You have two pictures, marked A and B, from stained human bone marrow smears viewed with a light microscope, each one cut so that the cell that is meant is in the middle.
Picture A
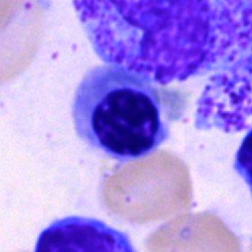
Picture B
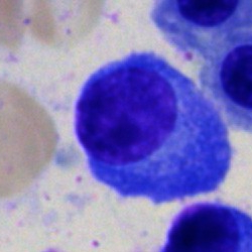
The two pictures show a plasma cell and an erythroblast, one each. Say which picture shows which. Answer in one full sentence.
Picture B shows a plasma cell, while picture A shows an erythroblast.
